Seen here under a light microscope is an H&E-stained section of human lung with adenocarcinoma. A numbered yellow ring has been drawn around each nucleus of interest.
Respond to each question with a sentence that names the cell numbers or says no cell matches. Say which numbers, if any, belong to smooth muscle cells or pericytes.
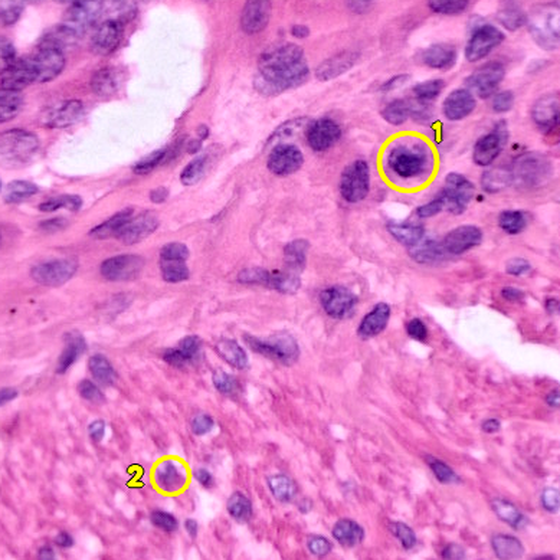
The cell labelled 2 is a smooth muscle cell or pericyte, while the remaining numbered cells are not.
